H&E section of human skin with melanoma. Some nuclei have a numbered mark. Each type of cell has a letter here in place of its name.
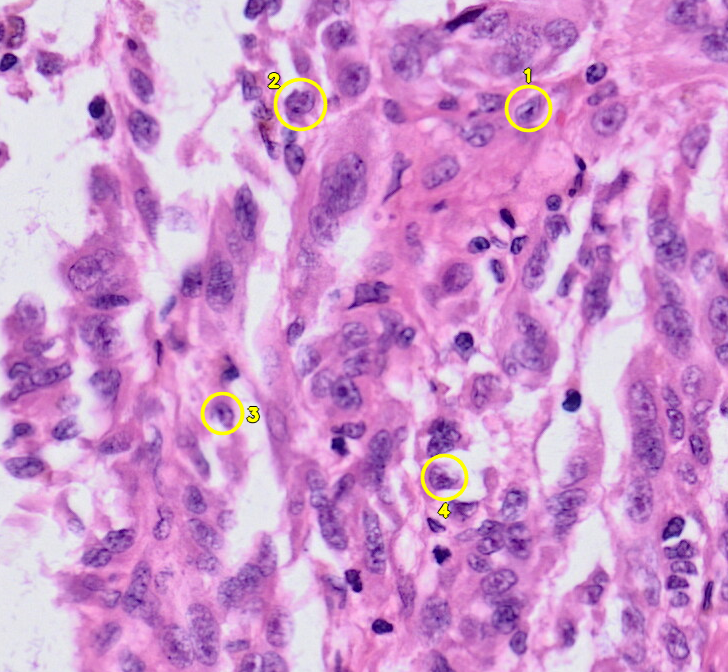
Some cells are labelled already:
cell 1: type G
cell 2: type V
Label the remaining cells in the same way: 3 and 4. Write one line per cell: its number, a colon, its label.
3: type V
4: type V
